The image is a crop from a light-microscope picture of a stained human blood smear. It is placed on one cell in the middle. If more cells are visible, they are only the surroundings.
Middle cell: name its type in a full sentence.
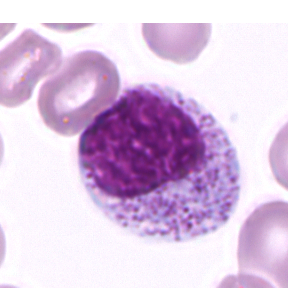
The center cell of this crop is a myelocyte.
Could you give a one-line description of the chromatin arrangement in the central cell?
Answer: the chromatin in this nucleus is coarsely clumped.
